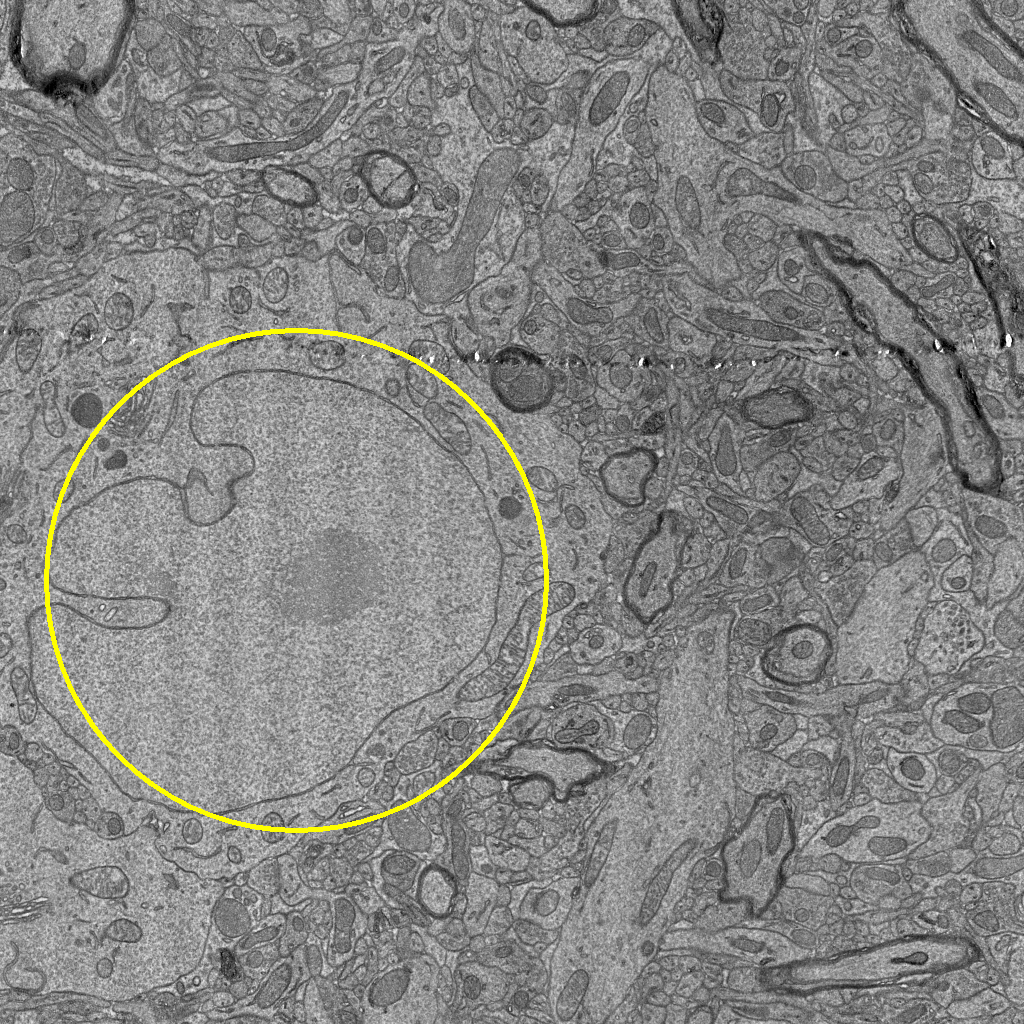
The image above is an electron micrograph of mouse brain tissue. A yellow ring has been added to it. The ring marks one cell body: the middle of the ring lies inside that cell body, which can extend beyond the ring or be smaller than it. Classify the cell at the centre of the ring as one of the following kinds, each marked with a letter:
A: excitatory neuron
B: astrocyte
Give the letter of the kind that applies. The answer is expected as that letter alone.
A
